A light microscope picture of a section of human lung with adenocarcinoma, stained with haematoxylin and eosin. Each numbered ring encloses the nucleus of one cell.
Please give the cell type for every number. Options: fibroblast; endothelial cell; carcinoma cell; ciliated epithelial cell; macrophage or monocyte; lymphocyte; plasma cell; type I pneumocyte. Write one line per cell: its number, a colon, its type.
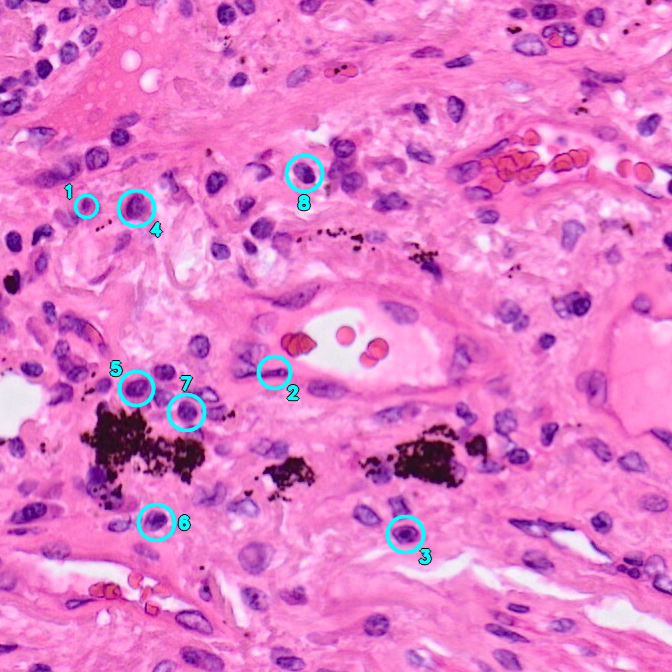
1: plasma cell
2: endothelial cell
3: lymphocyte
4: plasma cell
5: plasma cell
6: lymphocyte
7: lymphocyte
8: lymphocyte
